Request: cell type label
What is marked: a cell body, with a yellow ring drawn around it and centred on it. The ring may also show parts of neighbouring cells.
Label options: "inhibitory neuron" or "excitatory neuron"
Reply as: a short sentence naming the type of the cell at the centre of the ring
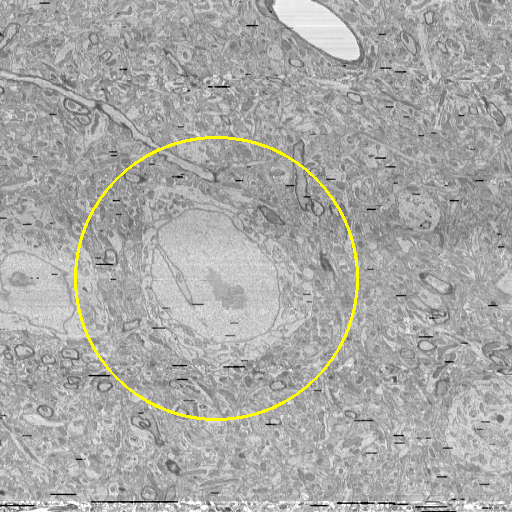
The marked cell body is that of an inhibitory neuron.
